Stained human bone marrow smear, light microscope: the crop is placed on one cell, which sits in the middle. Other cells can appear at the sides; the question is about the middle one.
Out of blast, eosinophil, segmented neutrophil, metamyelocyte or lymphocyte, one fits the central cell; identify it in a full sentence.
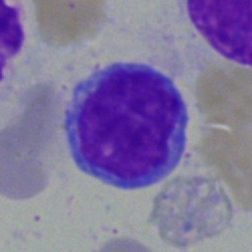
In the middle of this smear crop is a lymphocyte.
